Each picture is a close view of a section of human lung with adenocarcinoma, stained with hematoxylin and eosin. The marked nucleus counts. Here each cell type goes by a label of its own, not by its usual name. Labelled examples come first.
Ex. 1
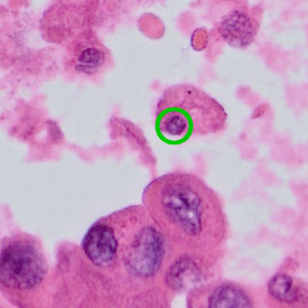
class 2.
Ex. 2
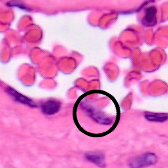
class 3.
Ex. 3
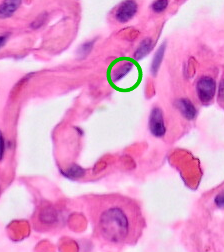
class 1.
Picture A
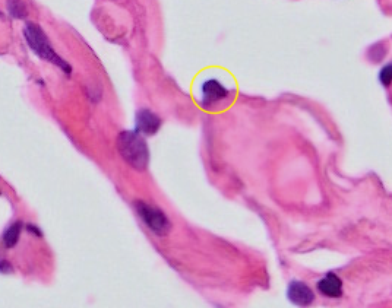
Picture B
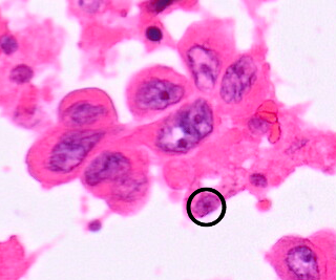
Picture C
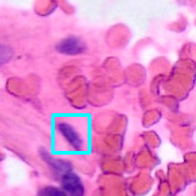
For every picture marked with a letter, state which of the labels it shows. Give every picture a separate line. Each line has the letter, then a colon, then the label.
A: class 1.
B: class 2.
C: class 1.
